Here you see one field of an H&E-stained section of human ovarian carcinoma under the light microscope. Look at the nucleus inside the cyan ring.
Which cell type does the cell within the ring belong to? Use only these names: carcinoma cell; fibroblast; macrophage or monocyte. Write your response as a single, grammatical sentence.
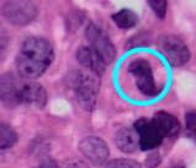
In terms of identity, the cell within the ring is a macrophage or monocyte.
